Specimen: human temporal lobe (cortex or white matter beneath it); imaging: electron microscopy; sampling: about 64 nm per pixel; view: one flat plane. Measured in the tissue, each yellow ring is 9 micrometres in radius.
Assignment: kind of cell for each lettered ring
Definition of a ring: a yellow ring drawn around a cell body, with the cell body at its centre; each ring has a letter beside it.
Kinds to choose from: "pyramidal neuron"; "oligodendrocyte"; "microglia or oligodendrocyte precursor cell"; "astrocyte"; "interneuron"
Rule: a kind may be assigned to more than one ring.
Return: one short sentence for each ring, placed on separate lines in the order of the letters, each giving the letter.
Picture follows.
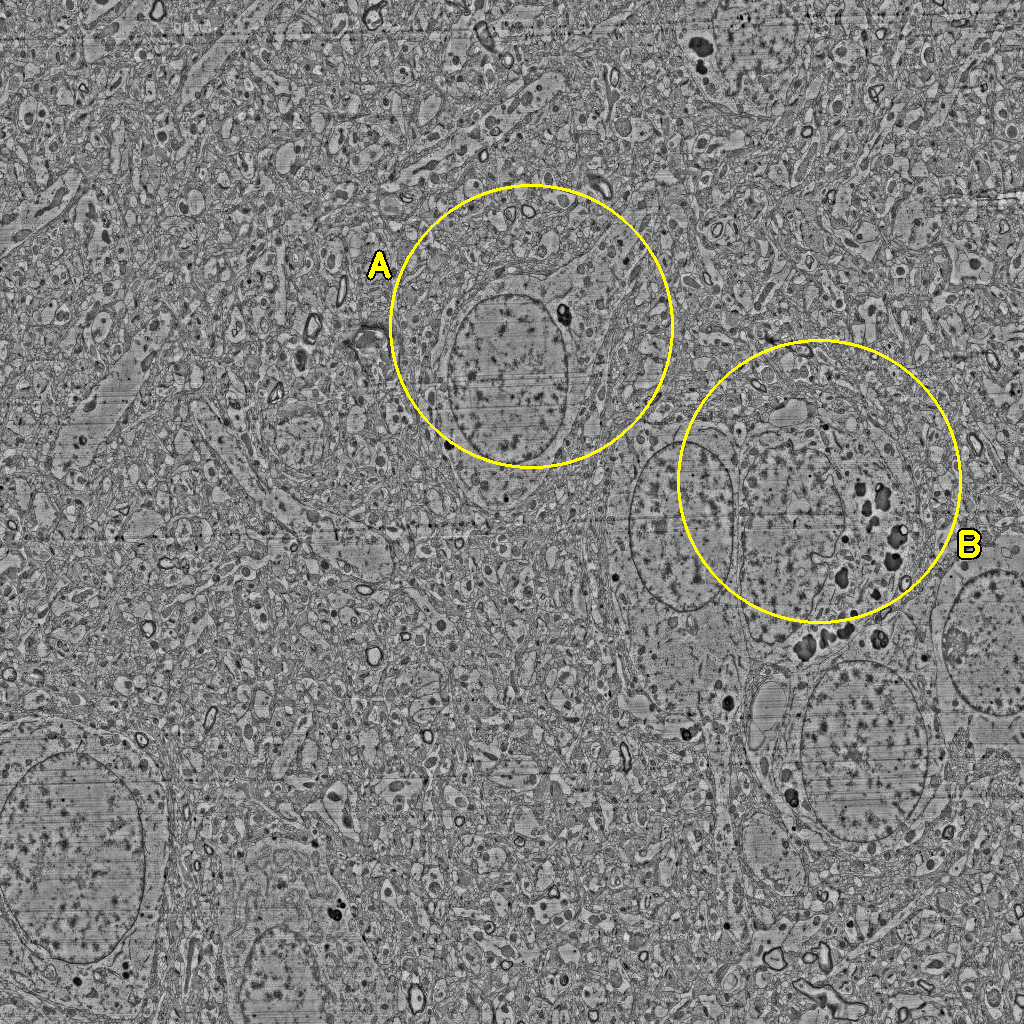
The ring marked A is centred on a pyramidal neuron.
The ring marked B is centred on an interneuron.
